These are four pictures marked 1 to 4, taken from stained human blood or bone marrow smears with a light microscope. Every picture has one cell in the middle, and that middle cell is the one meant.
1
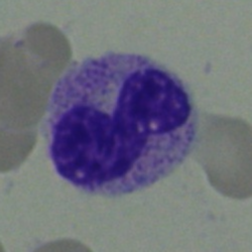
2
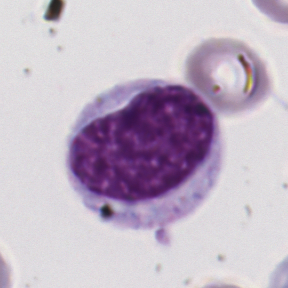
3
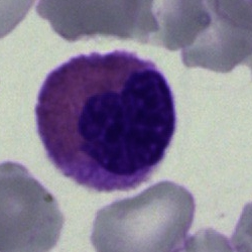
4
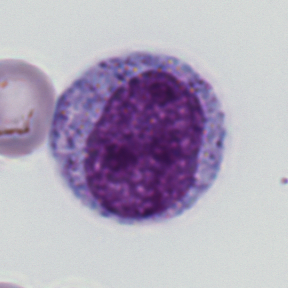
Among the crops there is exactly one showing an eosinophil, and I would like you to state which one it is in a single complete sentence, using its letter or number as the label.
Crop 3 is the crop in which an eosinophil is shown.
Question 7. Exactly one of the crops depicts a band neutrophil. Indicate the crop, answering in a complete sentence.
The crop marked 1 is the one that shows a band neutrophil.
